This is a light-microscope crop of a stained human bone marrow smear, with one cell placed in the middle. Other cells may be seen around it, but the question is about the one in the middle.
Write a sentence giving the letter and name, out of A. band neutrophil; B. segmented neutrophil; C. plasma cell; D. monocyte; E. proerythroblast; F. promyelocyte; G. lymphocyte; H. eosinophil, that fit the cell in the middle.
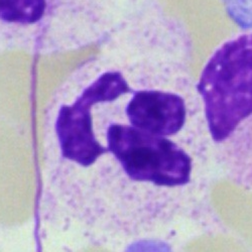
The cell placed in the middle is a segmented neutrophil; option B is correct.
